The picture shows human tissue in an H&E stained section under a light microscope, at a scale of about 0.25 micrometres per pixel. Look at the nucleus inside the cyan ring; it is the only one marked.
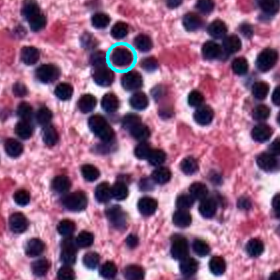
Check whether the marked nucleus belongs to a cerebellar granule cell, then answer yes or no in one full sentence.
Yes, the marked nucleus belongs to a cerebellar granule cell in this field.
